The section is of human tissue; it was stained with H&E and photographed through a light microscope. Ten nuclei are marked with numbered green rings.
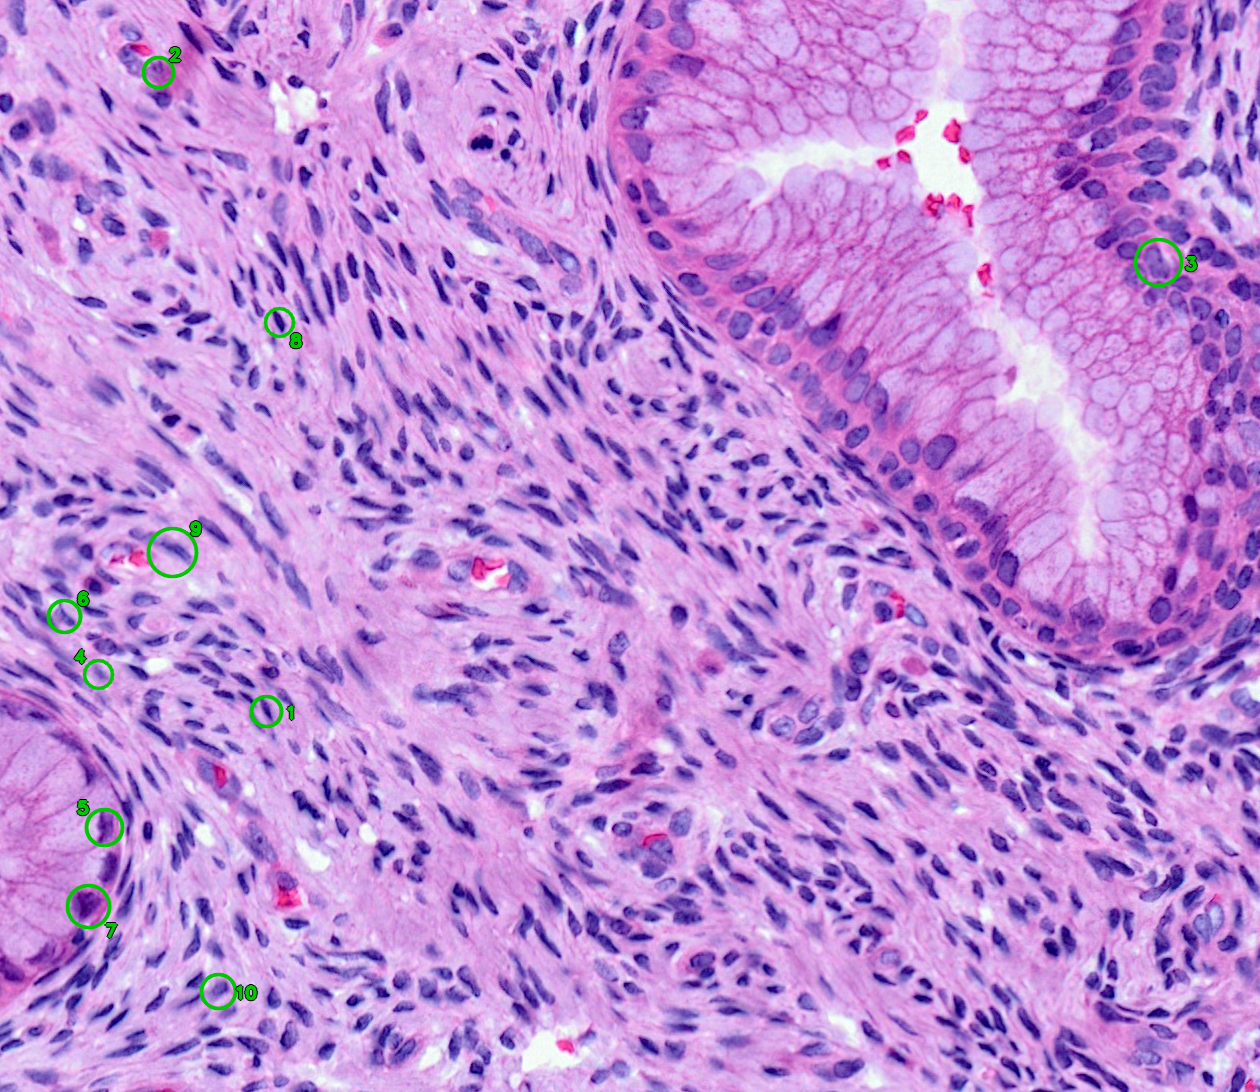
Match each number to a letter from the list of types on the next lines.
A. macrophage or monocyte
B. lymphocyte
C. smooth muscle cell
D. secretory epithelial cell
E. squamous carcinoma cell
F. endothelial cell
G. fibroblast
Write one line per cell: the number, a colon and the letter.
1: G
2: F
3: D
4: G
5: D
6: G
7: D
8: G
9: G
10: G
